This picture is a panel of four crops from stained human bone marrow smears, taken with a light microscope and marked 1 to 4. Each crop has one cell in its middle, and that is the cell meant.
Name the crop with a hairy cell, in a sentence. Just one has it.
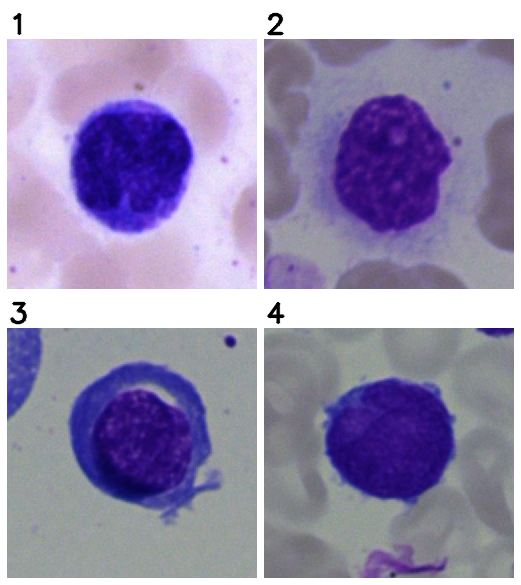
Crop 2, of the crops presented, is the one showing a hairy cell.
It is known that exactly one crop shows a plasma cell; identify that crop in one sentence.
It is crop 3 that shows a plasma cell.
